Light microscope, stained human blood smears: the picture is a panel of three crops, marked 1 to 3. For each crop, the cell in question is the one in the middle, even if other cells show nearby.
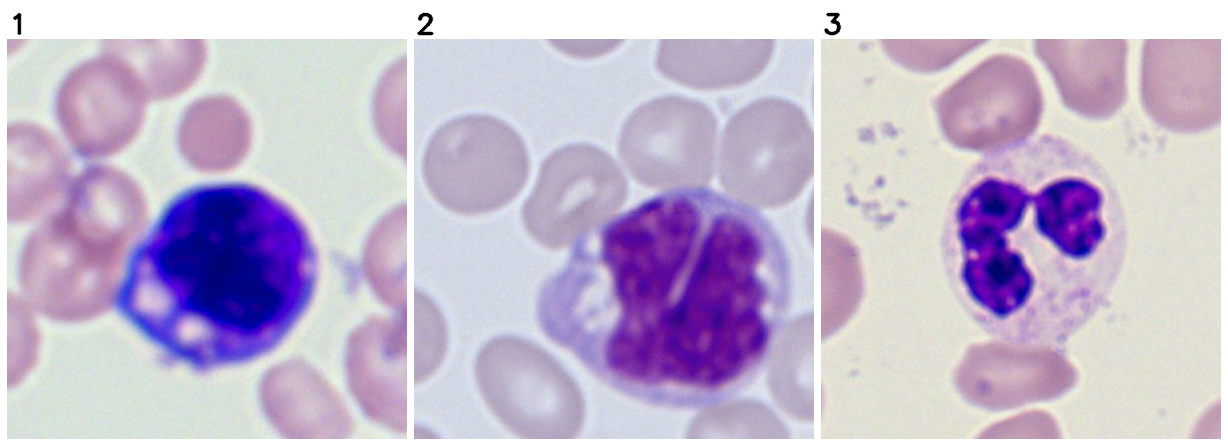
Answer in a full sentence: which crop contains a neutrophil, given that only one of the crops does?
The one crop that shows a neutrophil is crop 3.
